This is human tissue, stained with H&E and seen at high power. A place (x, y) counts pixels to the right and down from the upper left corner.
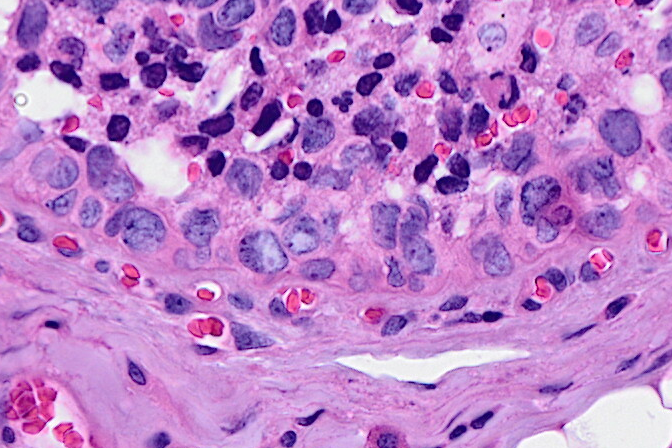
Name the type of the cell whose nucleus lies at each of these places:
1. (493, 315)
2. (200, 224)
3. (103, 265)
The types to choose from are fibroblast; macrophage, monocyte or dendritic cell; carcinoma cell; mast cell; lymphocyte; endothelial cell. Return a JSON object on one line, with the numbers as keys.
{"1": "lymphocyte", "2": "carcinoma cell", "3": "mast cell"}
